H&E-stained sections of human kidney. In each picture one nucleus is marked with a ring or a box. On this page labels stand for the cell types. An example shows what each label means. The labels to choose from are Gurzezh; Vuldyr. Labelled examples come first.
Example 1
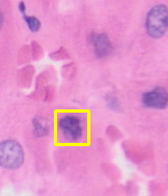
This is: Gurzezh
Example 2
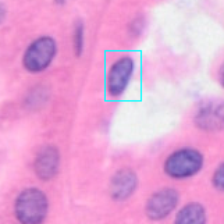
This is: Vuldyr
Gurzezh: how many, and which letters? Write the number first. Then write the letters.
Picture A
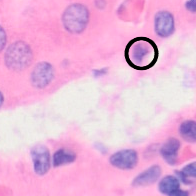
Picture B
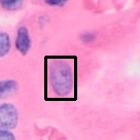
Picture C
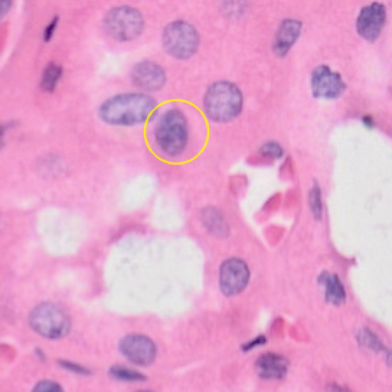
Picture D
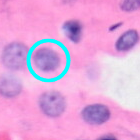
2: B, C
